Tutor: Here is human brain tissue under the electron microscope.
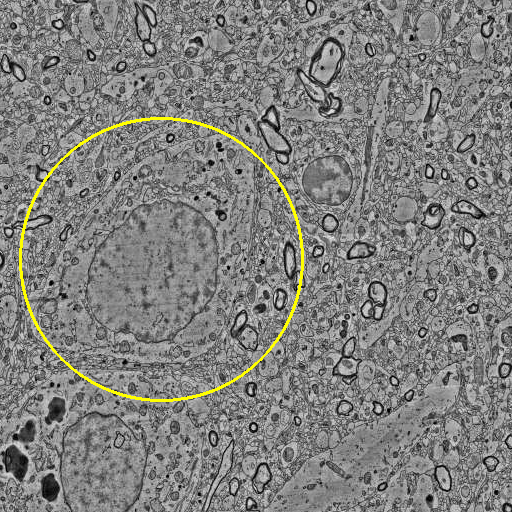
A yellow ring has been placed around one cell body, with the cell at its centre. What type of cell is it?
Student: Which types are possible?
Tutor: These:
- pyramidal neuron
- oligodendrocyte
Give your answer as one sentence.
What the ring picks out here is a pyramidal neuron.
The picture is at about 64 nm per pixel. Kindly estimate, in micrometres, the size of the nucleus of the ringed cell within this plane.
The nucleus measures about 10 by 8 micrometres in this plane.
